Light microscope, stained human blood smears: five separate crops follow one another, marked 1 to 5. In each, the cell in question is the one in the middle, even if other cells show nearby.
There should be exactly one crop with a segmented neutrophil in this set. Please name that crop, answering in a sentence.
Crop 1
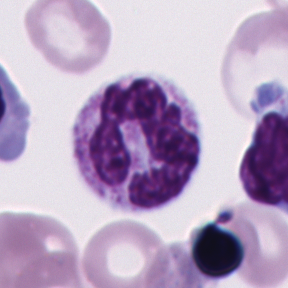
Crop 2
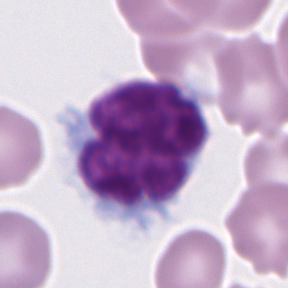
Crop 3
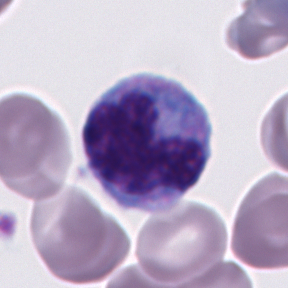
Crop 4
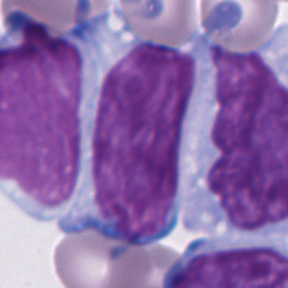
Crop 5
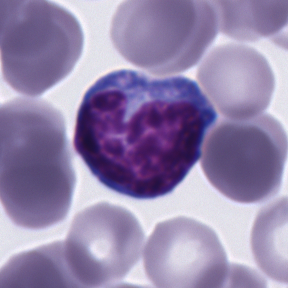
Crop 1 is identified as the crop showing a segmented neutrophil.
